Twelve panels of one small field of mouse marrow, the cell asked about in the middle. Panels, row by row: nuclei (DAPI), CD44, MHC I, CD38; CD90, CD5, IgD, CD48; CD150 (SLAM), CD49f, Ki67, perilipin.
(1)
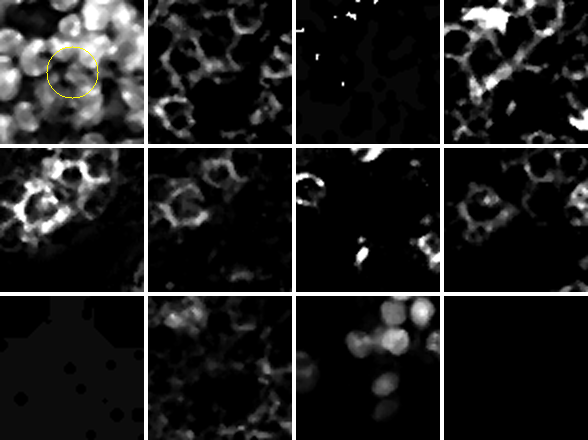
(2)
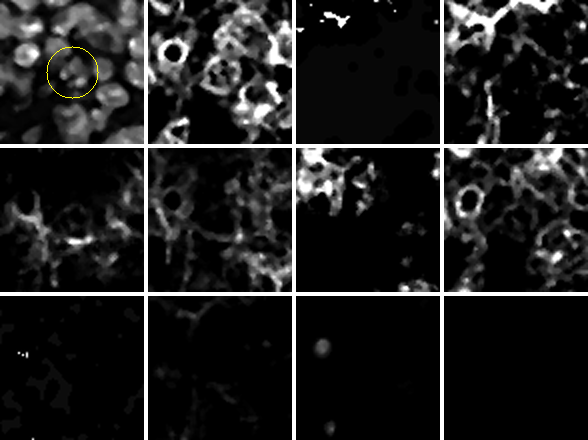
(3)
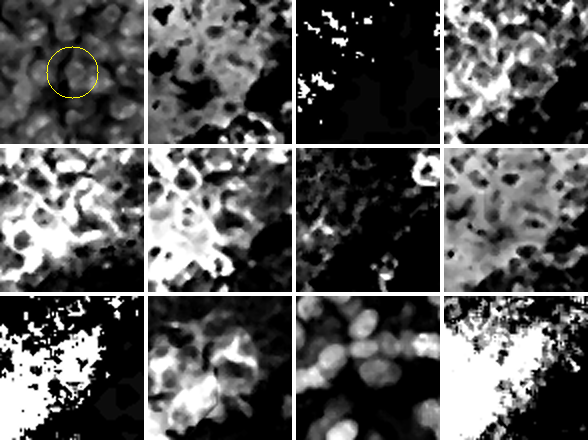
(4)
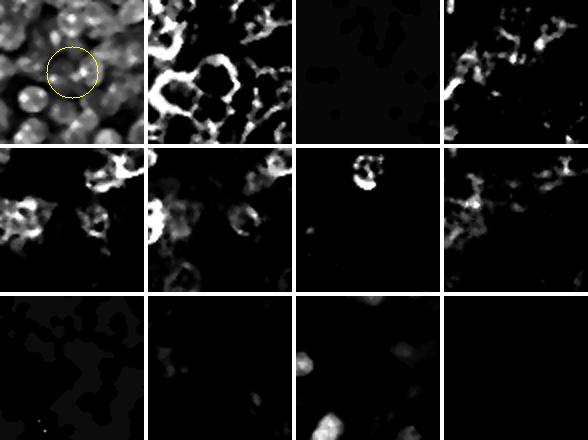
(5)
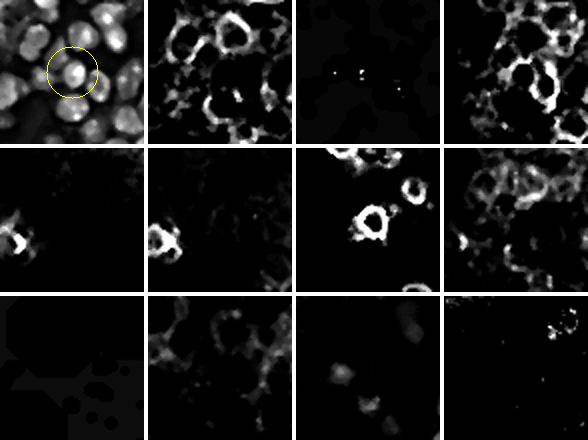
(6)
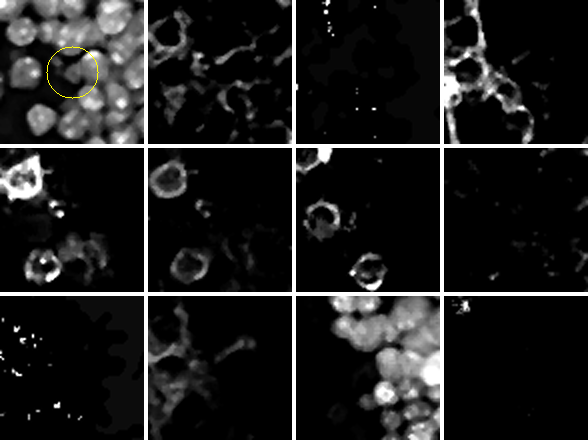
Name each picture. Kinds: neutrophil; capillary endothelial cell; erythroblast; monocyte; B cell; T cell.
(1) capillary endothelial cell
(2) neutrophil
(3) monocyte
(4) neutrophil
(5) B cell
(6) erythroblast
